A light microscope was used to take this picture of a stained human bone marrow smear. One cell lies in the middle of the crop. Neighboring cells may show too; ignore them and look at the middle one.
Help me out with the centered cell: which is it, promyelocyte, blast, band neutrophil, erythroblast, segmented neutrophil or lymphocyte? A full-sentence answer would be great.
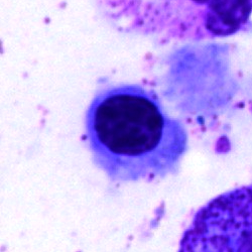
The middle of this crop holds an erythroblast.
